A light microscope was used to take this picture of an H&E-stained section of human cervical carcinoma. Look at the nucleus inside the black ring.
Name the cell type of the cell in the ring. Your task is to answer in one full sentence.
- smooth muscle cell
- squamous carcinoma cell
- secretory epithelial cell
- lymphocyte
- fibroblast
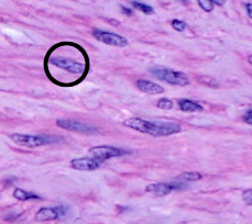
In the tissue at hand, the cell in the ring is a smooth muscle cell.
